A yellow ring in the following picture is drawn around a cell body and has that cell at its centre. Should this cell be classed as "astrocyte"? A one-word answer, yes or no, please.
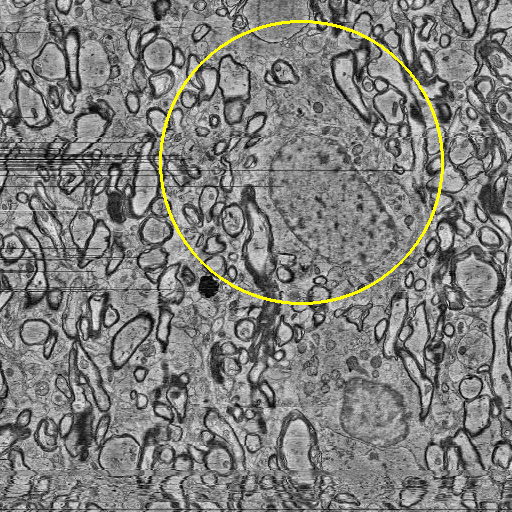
Yes, it is of that kind.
